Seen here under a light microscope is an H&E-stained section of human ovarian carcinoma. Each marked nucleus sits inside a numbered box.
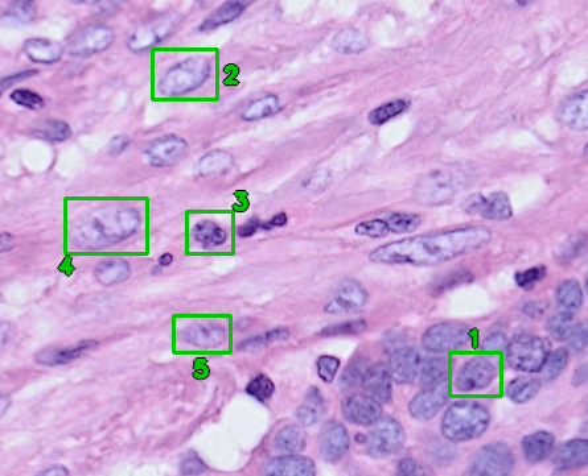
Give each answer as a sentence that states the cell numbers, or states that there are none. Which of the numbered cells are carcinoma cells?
Only the cell marked 1 is a carcinoma cell.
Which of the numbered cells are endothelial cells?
Of the numbered cells, none can be classed as endothelial cells.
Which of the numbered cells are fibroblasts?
By cell type, the cells numbered 2, 4 and 5 are fibroblasts.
